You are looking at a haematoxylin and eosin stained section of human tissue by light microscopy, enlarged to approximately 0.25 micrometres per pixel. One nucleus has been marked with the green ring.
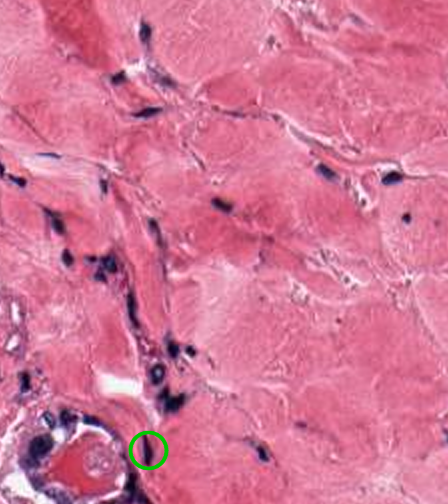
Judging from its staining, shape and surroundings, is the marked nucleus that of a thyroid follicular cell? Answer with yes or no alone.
no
